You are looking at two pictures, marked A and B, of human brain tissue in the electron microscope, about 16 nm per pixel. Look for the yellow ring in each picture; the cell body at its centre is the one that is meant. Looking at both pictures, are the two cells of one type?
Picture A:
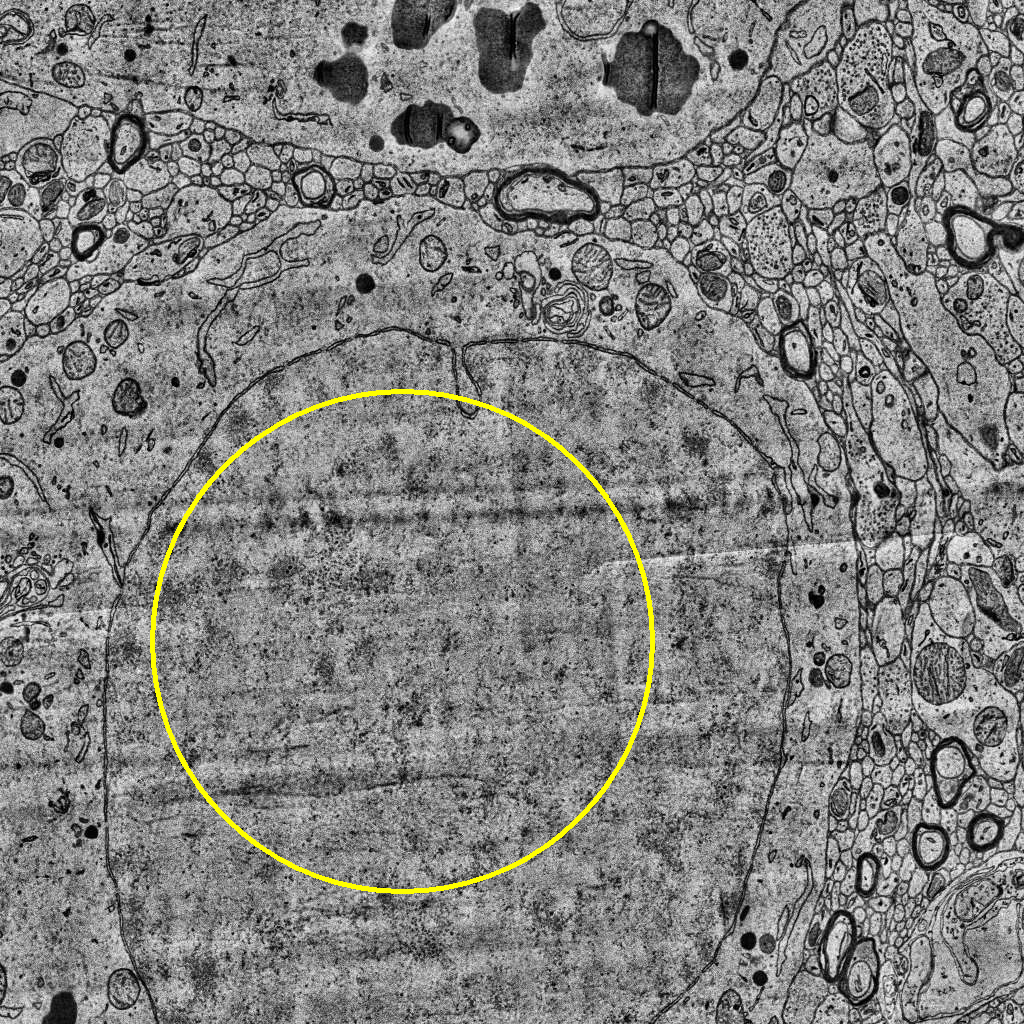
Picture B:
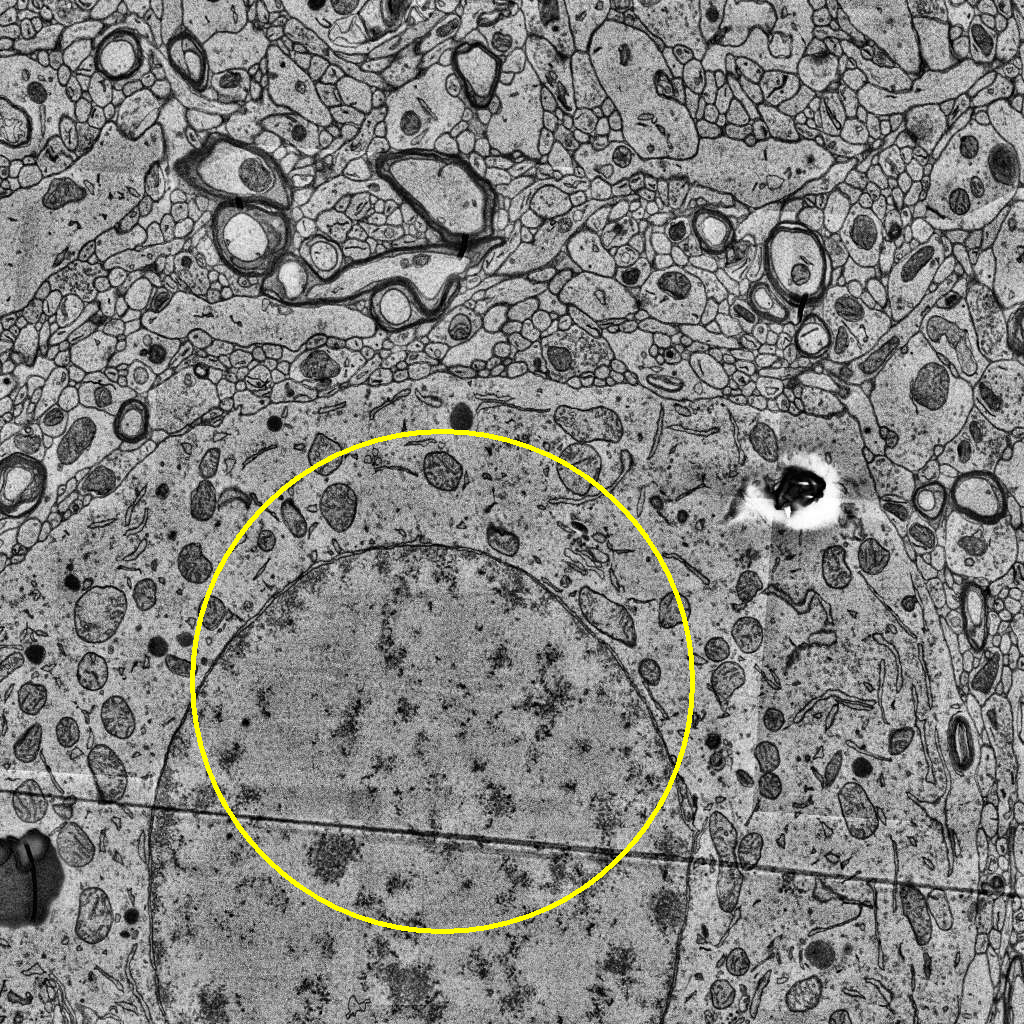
No; the cell in picture A is a pyramidal neuron, while the one in picture B is an interneuron.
